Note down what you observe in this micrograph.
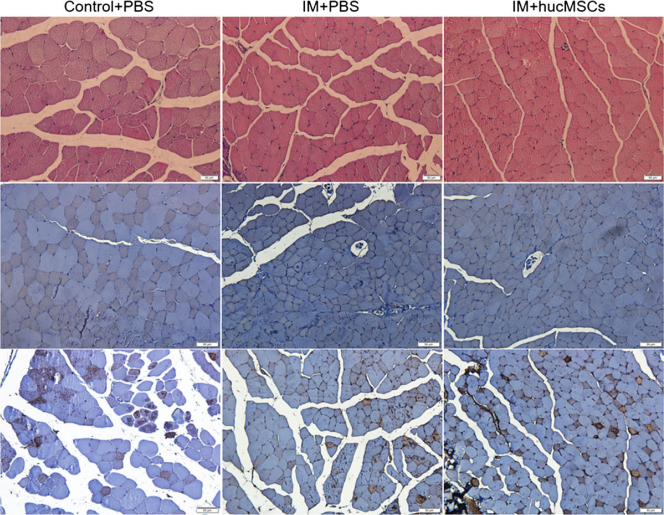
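These are cross sections of skeletal muscle, in which the muscle fibres appear as closely packed polygonal profiles grouped into fascicles. In the top row the fibres stain pink, with small dark nuclei at their edges, and the fascicles are separated by pale clefts. In the two lower rows the fibres are blue-grey, and in the bottom row a scattered minority of fibres is stained brown among unstained ones. Fibre outlines vary in size across the images, some fields showing smaller profiles than others.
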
